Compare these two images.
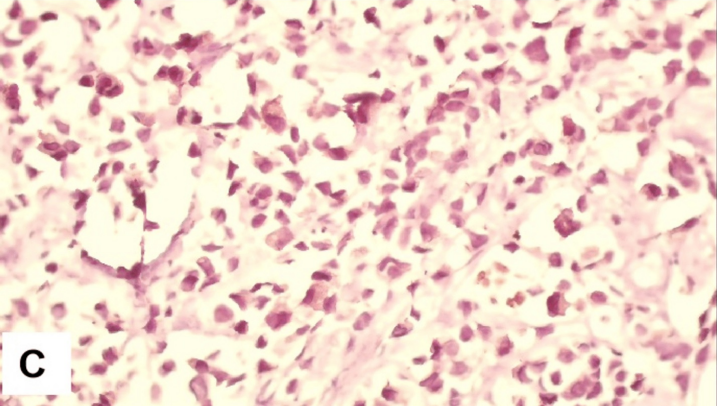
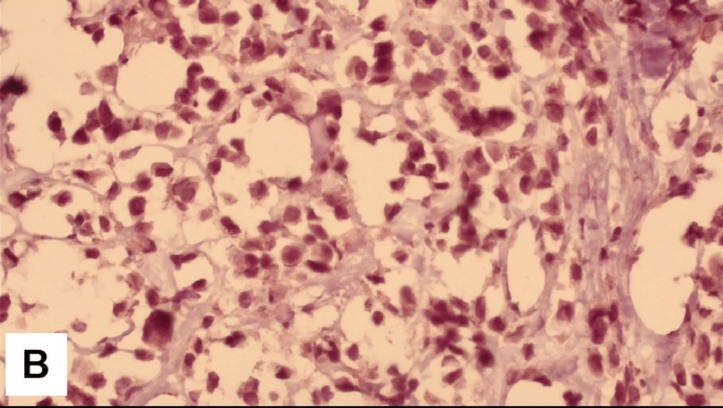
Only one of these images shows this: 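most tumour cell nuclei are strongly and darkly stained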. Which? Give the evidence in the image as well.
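Second image: most tumour cell nuclei are intensely dark maroon against a pale bluish stroma.
Conclusion: the second image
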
